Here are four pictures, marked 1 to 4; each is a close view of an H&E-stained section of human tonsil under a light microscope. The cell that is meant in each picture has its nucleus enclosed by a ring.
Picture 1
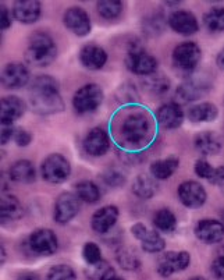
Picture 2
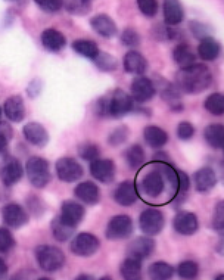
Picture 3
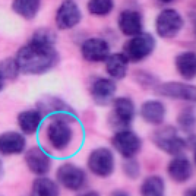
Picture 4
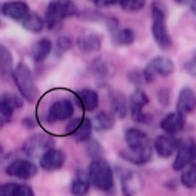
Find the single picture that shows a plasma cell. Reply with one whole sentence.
It is picture 1 that shows the plasma cell.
